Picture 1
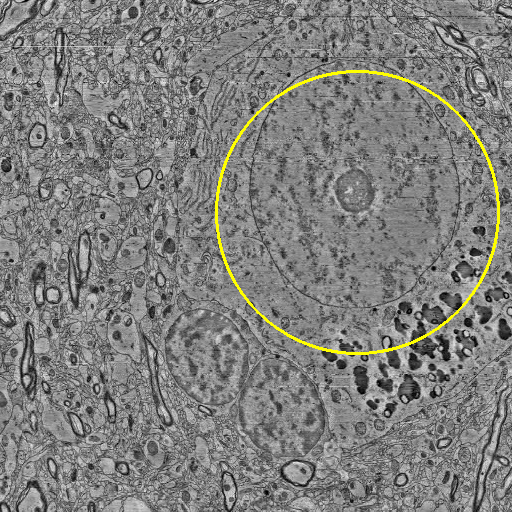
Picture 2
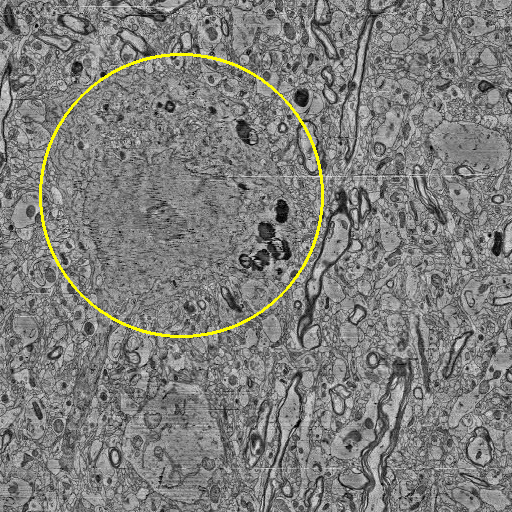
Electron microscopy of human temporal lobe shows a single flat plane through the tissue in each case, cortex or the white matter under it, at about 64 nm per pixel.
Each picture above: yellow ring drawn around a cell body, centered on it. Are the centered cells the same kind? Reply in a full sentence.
Yes, the two cells are the same kind.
